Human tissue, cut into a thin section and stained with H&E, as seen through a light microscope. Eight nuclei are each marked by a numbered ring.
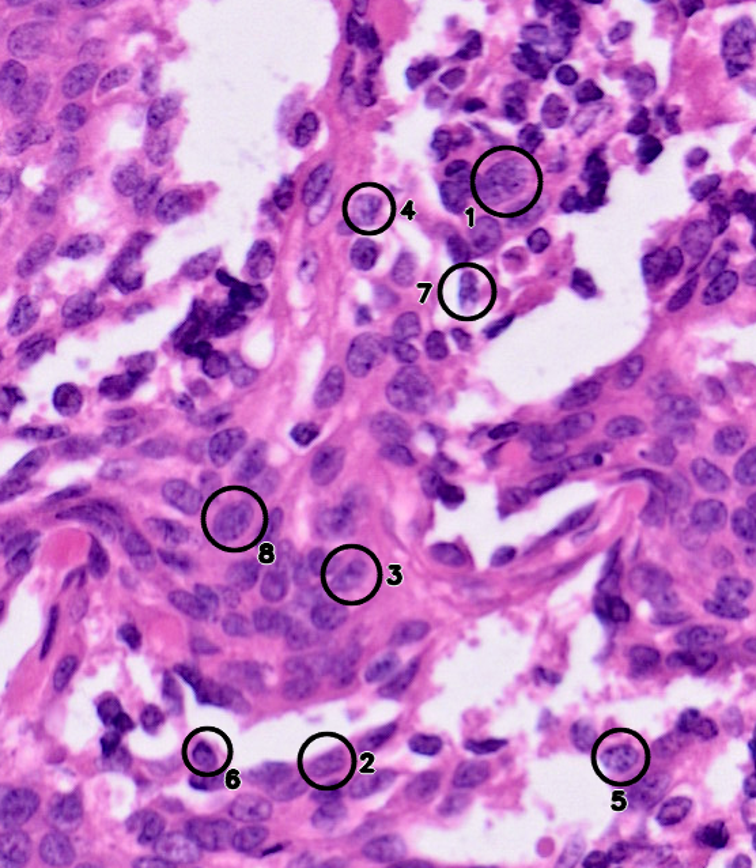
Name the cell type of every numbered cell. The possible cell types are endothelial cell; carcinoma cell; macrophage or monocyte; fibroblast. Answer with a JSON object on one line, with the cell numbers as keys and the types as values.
{"1": "carcinoma cell", "2": "carcinoma cell", "3": "carcinoma cell", "4": "macrophage or monocyte", "5": "macrophage or monocyte", "6": "macrophage or monocyte", "7": "carcinoma cell", "8": "carcinoma cell"}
